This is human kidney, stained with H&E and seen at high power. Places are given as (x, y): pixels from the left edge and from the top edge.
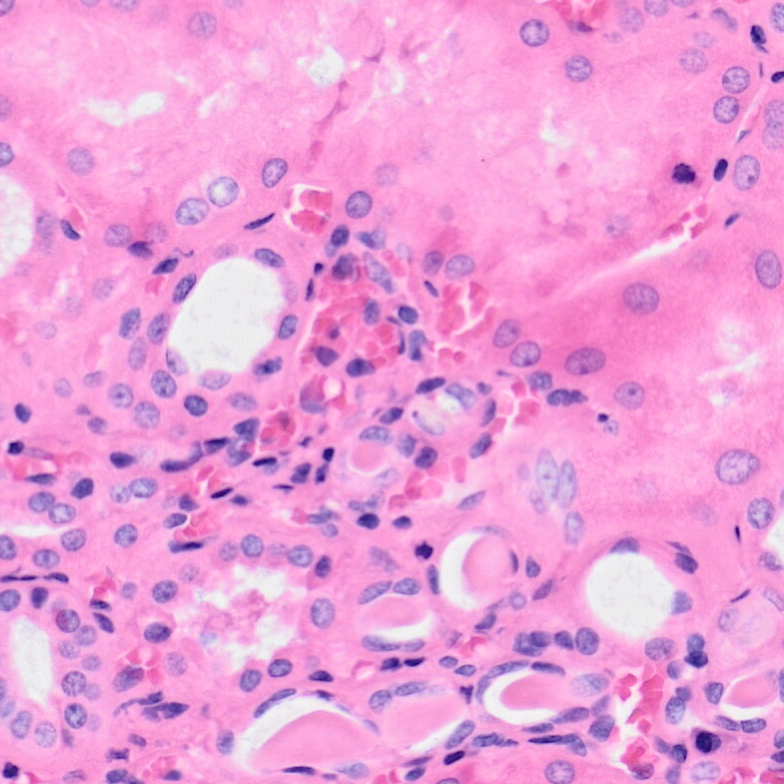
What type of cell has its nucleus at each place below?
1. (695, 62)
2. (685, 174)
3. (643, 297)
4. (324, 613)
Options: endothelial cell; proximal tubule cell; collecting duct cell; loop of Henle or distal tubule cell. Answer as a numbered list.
1. proximal tubule cell
2. proximal tubule cell
3. proximal tubule cell
4. loop of Henle or distal tubule cell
